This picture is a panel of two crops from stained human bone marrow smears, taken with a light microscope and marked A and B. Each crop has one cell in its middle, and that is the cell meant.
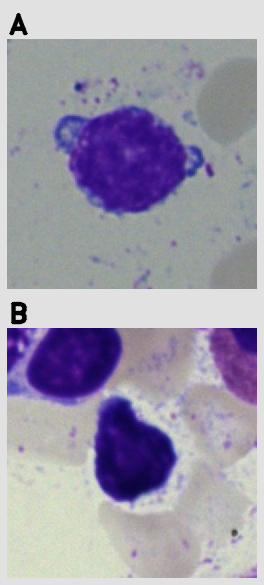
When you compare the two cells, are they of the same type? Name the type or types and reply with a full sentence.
Yes, both the first crop and the second crop show lymphocytes.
